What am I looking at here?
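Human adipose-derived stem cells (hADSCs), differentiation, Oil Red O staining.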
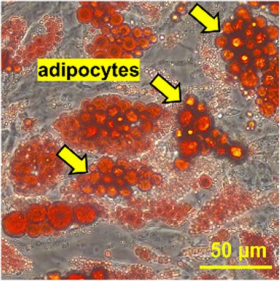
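Many cells are packed with round droplets stained bright orange-red, of varied size, from fine specks to large globules, crowding the cytoplasm in clusters. Droplet-filled cells lie in groups across the field, with grey, unstained cells and pale background between them. Some cells hold many small droplets, others fewer large ones. Yellow arrows point to droplet-laden cells. Nuclei are hard to make out beneath the lipid.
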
